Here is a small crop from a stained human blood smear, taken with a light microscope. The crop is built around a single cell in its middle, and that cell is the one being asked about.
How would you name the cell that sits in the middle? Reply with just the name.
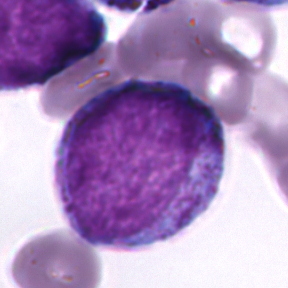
promyelocyte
